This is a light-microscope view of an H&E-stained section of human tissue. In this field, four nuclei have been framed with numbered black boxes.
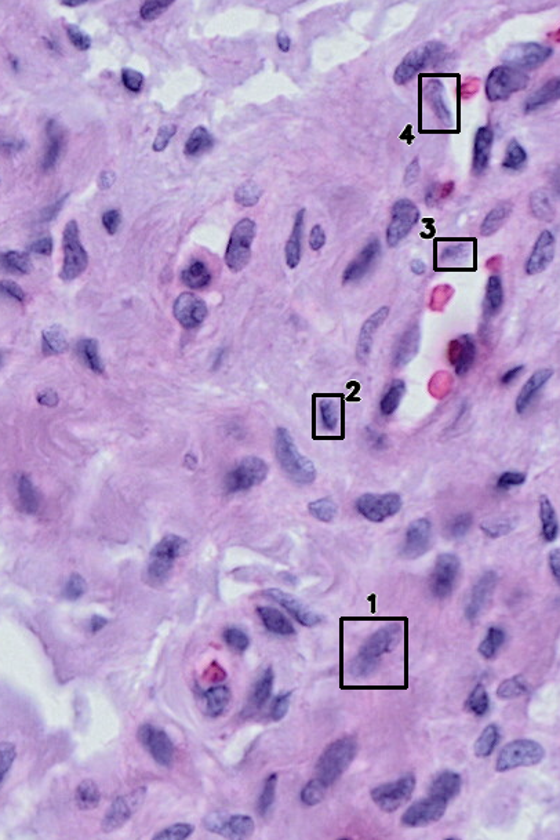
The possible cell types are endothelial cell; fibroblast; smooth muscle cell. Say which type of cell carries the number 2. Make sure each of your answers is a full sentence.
Classified as a fibroblast is the cell with the number 2.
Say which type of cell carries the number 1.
It is as a fibroblast that the cell numbered 1 is identified.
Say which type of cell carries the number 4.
The cell to which the number 4 is assigned is an endothelial cell.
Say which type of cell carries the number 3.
Cell 3 in the field is an endothelial cell.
